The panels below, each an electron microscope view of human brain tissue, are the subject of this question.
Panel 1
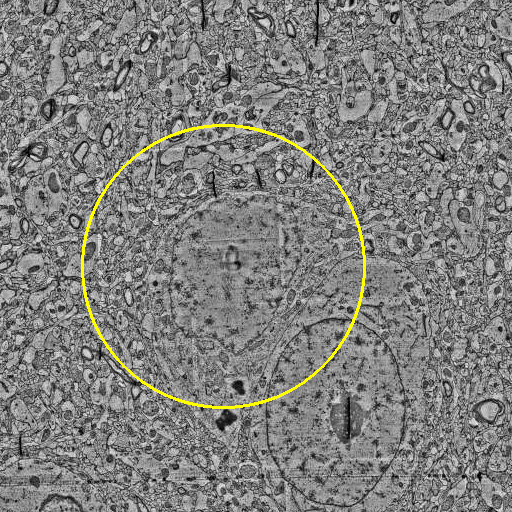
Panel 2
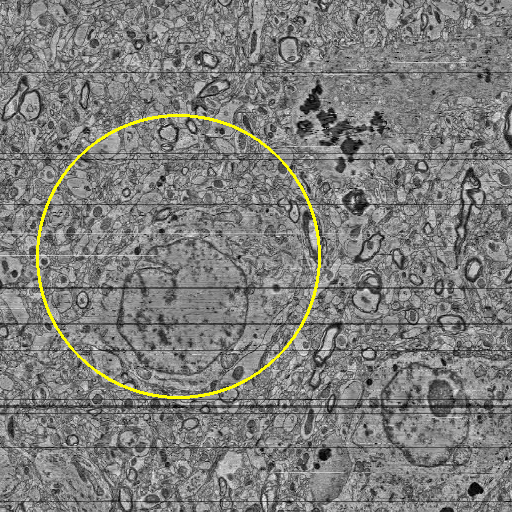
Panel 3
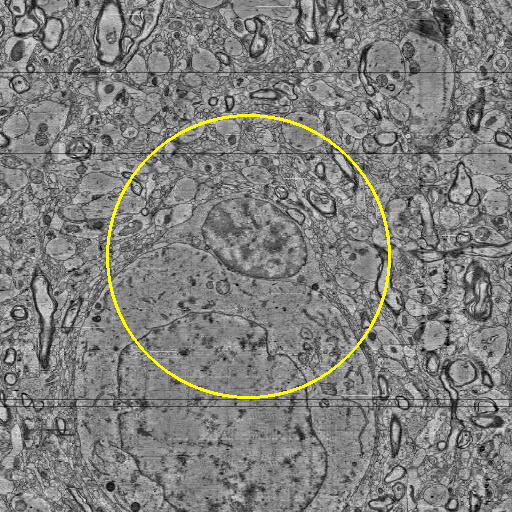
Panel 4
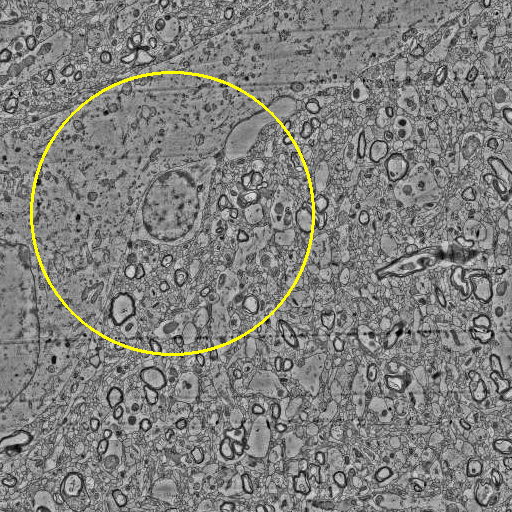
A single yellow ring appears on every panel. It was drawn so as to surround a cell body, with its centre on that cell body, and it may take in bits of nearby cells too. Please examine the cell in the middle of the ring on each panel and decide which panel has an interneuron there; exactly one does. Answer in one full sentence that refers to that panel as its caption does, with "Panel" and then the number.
Panel 1 is where the ring's central cell answers the question.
